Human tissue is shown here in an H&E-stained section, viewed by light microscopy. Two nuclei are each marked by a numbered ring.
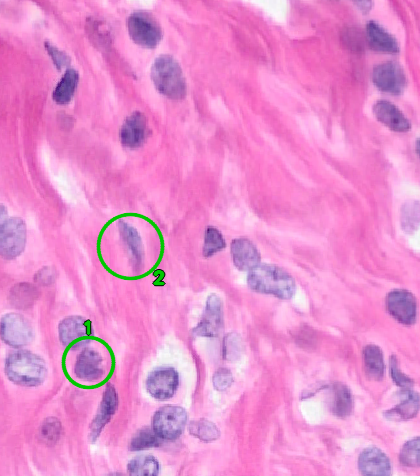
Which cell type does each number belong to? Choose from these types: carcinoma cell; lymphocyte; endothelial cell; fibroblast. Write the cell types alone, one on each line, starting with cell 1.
carcinoma cell
fibroblast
